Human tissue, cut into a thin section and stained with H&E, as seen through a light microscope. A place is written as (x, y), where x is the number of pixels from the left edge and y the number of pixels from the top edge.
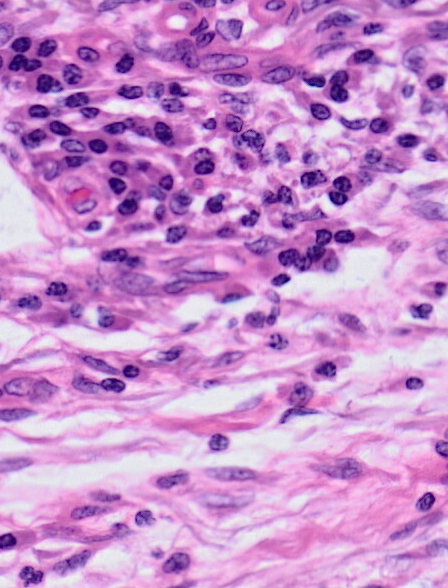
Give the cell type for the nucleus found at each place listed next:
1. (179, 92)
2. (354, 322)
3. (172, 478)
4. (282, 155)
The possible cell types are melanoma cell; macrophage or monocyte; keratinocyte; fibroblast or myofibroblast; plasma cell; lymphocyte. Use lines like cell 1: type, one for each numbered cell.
cell 1: plasma cell
cell 2: macrophage or monocyte
cell 3: macrophage or monocyte
cell 4: lymphocyte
